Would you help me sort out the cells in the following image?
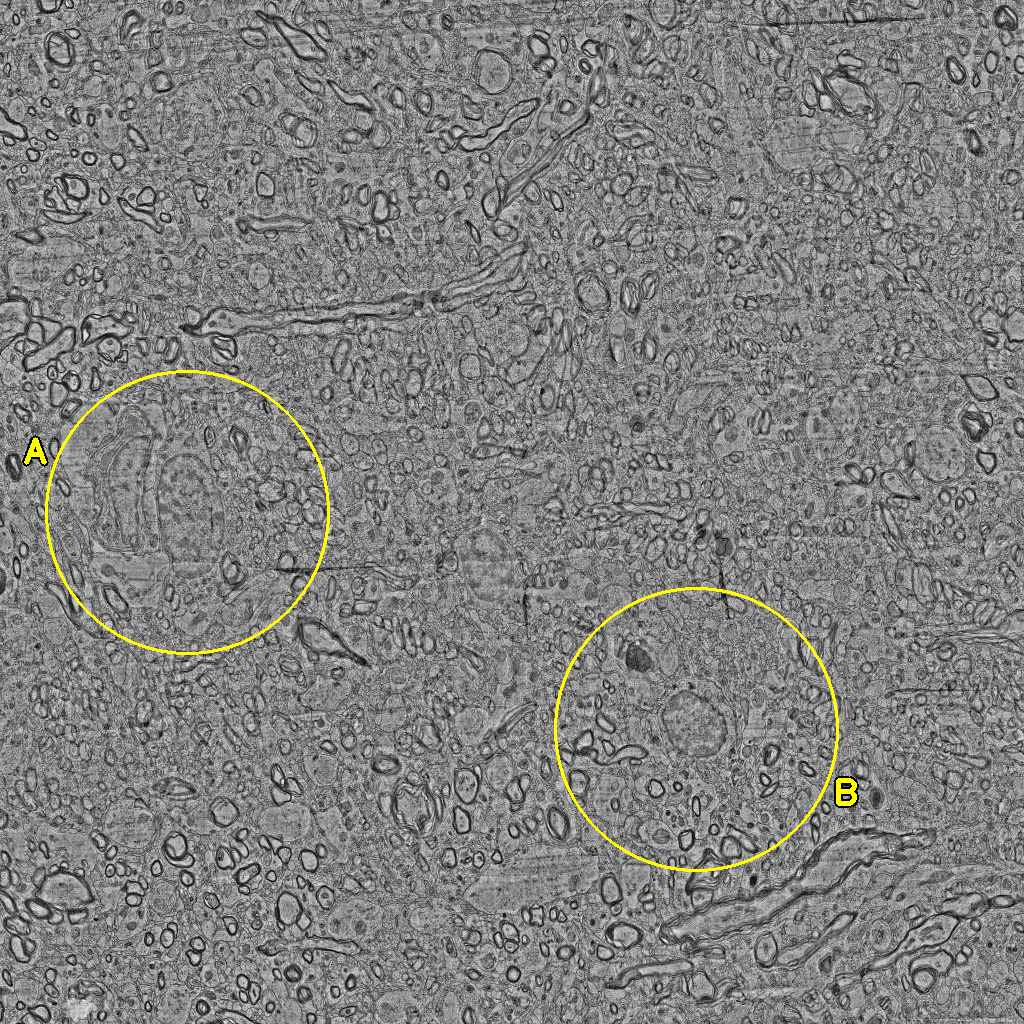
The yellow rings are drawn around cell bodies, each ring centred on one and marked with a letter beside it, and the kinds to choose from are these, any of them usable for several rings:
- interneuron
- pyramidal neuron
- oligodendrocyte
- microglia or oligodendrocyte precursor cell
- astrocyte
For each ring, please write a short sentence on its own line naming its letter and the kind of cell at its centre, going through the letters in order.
Ring A is centred on the cell body of an oligodendrocyte.
Ring B is centred on the cell body of an oligodendrocyte.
